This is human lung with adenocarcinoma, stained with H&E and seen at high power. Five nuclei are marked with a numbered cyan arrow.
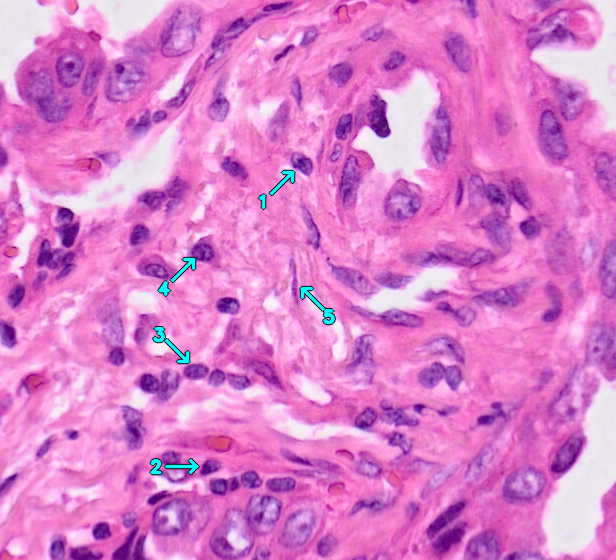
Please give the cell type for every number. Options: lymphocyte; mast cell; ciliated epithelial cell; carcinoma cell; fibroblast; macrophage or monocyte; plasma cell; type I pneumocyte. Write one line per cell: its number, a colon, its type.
1: lymphocyte
2: lymphocyte
3: lymphocyte
4: plasma cell
5: fibroblast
